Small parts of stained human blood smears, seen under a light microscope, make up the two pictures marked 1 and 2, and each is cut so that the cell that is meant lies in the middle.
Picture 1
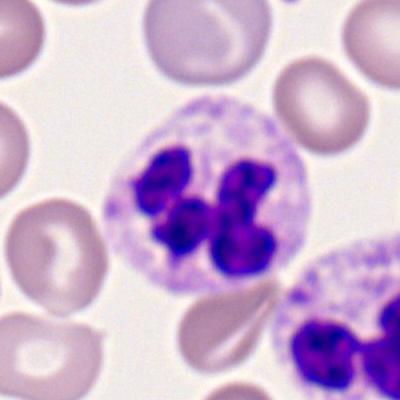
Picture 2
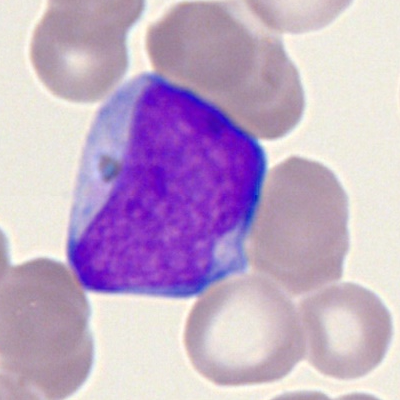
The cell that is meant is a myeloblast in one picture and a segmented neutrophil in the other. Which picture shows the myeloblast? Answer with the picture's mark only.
2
